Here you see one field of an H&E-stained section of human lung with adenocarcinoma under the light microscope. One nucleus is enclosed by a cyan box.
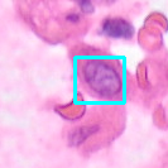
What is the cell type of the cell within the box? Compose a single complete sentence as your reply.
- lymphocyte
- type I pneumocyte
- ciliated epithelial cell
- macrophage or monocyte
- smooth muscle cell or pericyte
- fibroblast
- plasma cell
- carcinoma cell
On this particular slide, the cell within the box is a macrophage or monocyte.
